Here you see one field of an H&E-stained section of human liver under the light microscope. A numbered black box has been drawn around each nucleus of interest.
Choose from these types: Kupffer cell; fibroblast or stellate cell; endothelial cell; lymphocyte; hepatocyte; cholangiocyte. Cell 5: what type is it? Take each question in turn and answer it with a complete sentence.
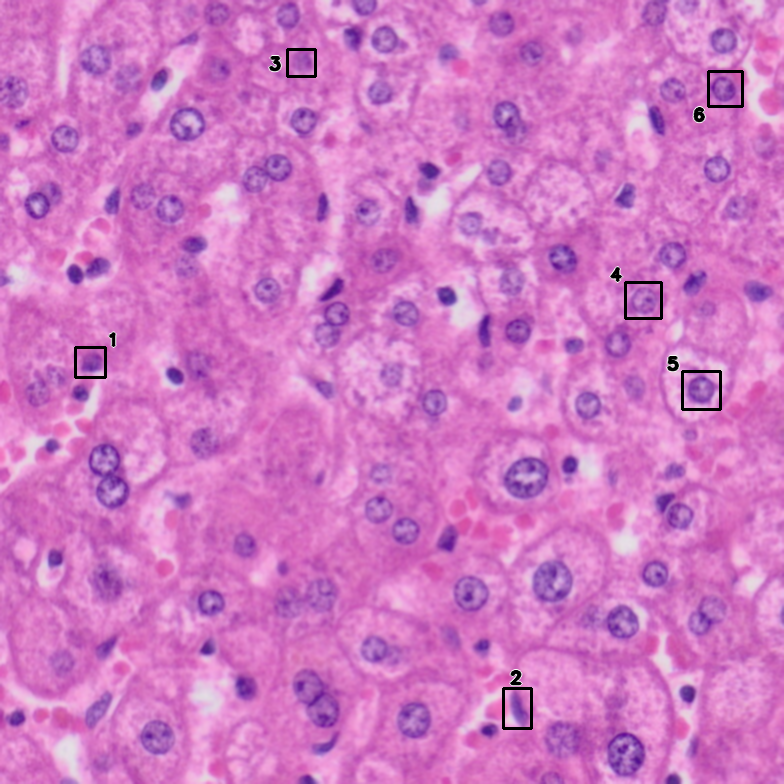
Cell 5 should be recorded as a hepatocyte.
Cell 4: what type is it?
Cell 4, as marked in the section, is a hepatocyte.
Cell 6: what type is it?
The label 6 in this section denotes a hepatocyte.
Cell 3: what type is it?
Within this field of view, the cell labelled 3 is a hepatocyte.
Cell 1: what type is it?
That cell with number 1 is an endothelial cell.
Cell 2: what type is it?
Denoted by the label 2 in the section is an endothelial cell.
